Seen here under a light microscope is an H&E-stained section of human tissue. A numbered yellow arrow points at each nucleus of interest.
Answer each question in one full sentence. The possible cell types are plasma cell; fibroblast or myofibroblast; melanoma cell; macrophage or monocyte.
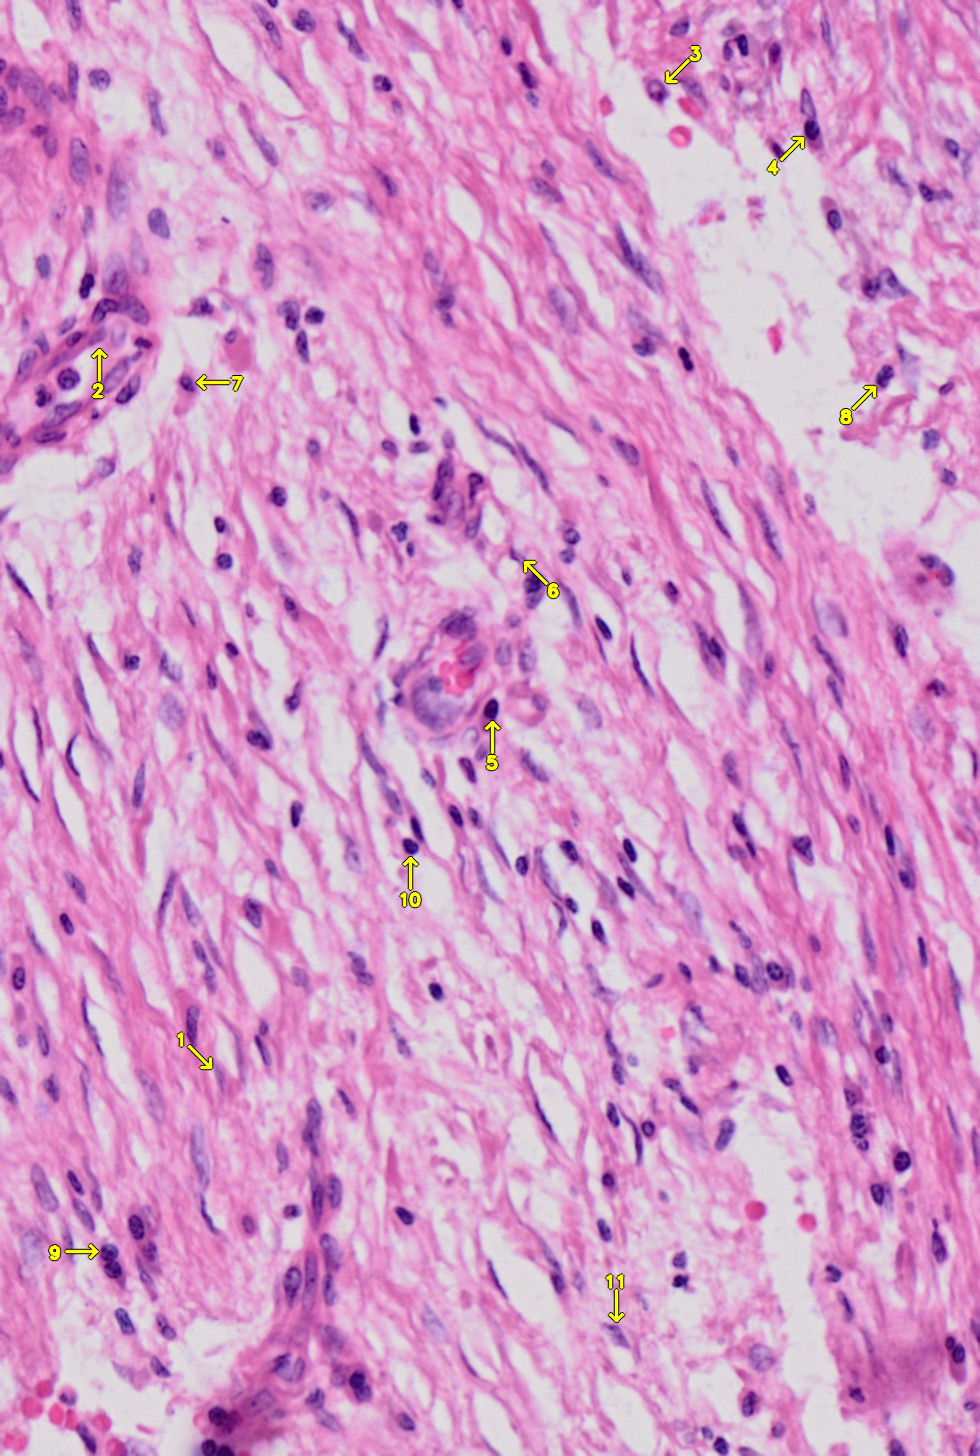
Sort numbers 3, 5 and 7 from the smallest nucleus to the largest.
By area, going up from the smallest, they rank 7, 5, 3.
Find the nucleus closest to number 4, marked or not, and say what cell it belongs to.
The nucleus nearest to number 4 is that of a fibroblast or myofibroblast.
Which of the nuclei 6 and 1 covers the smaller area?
The smaller nucleus is 6, and 1 covers roughly 2 times its area.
